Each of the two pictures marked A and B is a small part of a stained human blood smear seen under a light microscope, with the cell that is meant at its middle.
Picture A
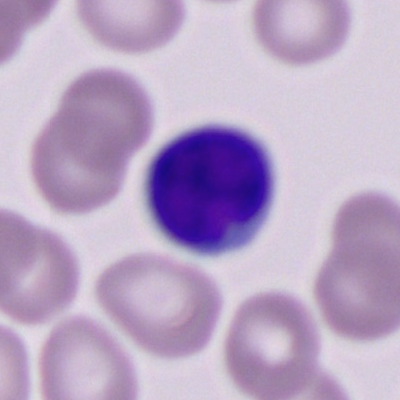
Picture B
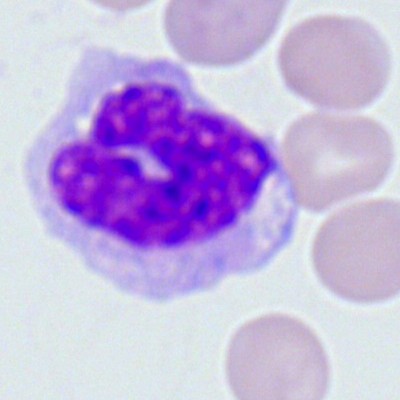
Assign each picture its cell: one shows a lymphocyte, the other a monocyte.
A: lymphocyte
B: monocyte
